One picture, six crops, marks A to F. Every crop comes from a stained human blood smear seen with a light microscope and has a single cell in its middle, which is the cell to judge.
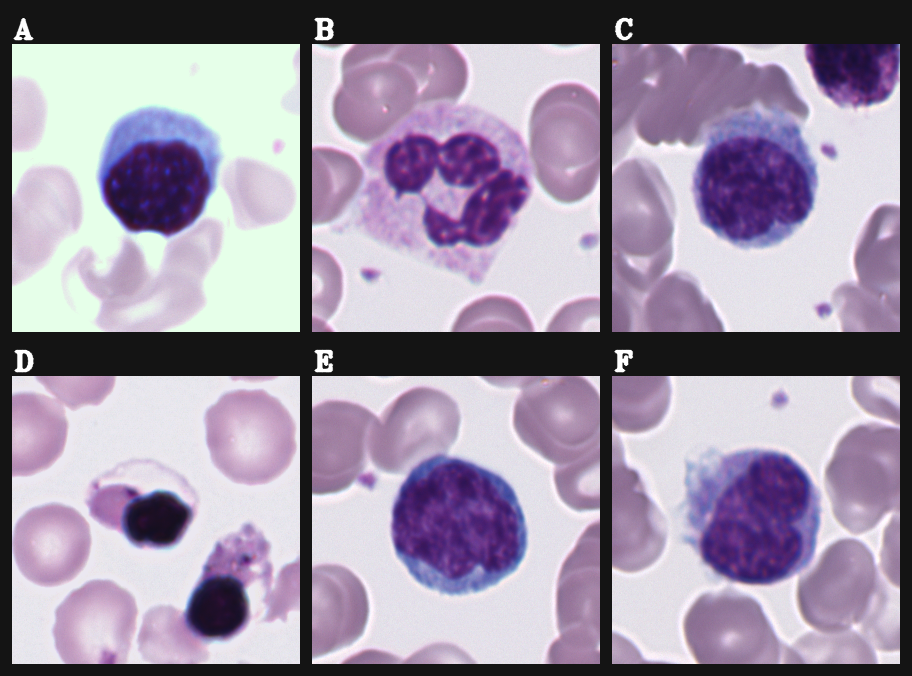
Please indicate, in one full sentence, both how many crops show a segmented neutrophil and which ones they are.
Of these crops, only crop B shows a segmented neutrophil; no other crop does.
